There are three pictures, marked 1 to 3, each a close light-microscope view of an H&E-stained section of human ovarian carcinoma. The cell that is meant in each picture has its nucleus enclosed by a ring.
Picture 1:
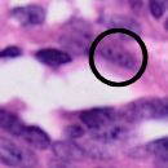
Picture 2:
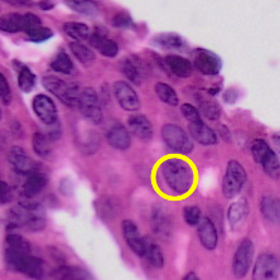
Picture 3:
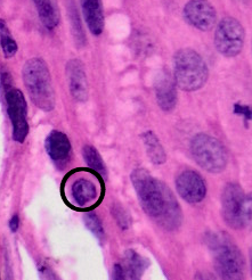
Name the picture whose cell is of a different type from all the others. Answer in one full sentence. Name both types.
The different one is picture 3; it shows a “macrophage or monocyte”, whereas all the others show carcinoma cells.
